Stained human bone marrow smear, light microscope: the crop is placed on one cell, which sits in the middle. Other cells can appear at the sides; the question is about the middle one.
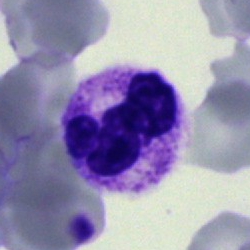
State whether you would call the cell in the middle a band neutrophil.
no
